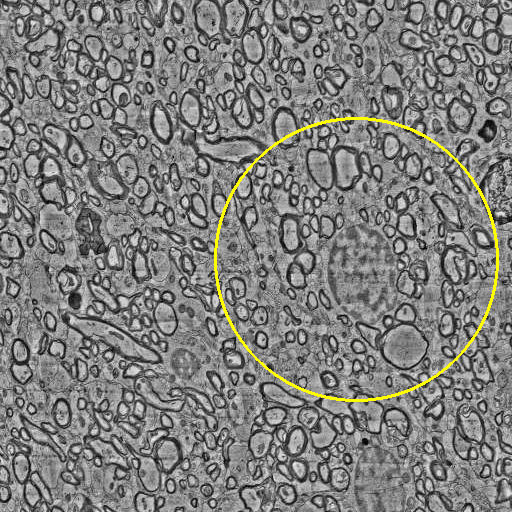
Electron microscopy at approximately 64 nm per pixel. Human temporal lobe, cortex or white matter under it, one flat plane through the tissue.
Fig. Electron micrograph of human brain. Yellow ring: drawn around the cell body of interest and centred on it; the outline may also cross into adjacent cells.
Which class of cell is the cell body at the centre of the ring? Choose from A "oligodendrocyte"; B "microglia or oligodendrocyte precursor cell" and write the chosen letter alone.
A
